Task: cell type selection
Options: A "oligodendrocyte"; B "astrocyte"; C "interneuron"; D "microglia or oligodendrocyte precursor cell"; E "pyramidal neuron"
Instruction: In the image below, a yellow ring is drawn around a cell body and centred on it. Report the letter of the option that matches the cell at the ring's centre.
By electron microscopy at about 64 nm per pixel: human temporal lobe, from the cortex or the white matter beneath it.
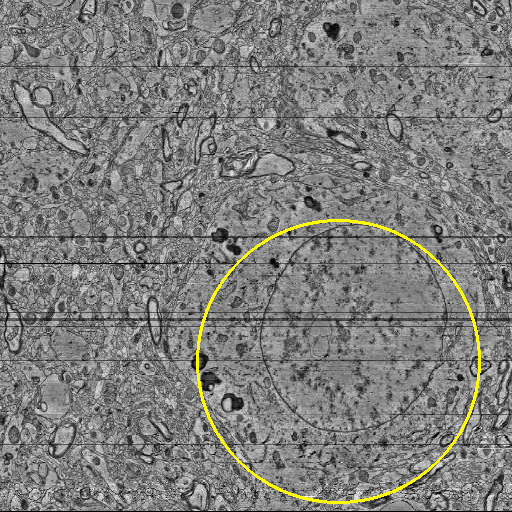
E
